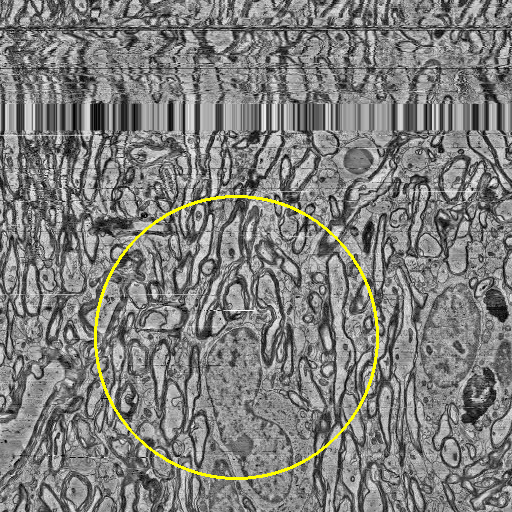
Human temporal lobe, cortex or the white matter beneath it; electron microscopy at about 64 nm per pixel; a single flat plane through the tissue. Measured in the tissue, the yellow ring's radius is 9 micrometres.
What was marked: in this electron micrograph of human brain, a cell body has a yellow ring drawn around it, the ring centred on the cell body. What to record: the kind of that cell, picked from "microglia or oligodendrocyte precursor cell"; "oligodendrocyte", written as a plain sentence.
The centred cell is a microglial cell or oligodendrocyte precursor cell.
